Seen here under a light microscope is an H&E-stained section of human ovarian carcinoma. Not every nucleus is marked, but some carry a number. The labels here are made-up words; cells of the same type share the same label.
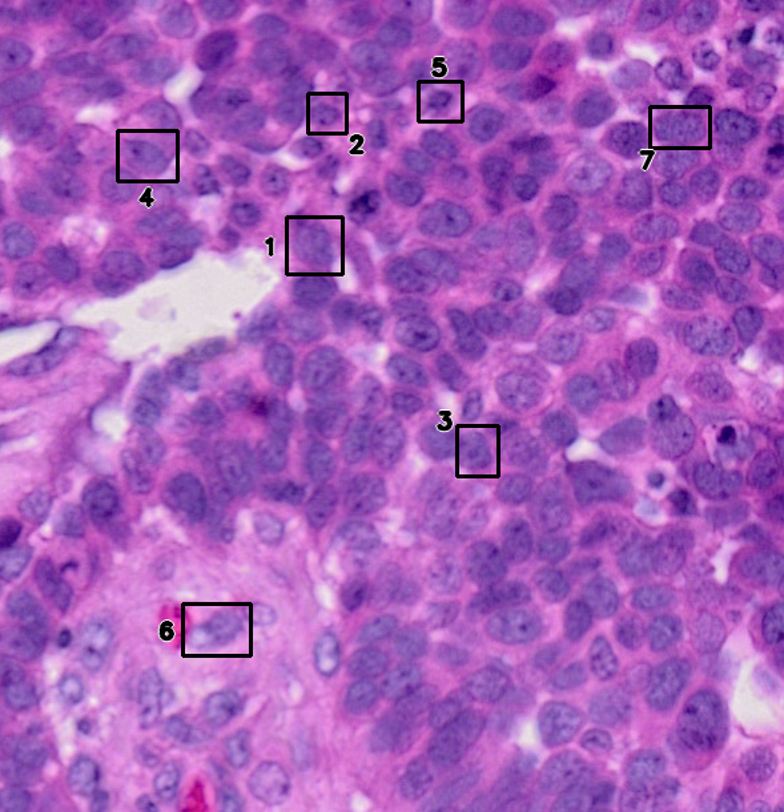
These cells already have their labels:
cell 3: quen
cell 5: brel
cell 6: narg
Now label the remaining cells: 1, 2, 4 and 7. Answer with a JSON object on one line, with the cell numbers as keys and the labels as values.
{"1": "quen", "2": "brel", "4": "quen", "7": "quen"}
